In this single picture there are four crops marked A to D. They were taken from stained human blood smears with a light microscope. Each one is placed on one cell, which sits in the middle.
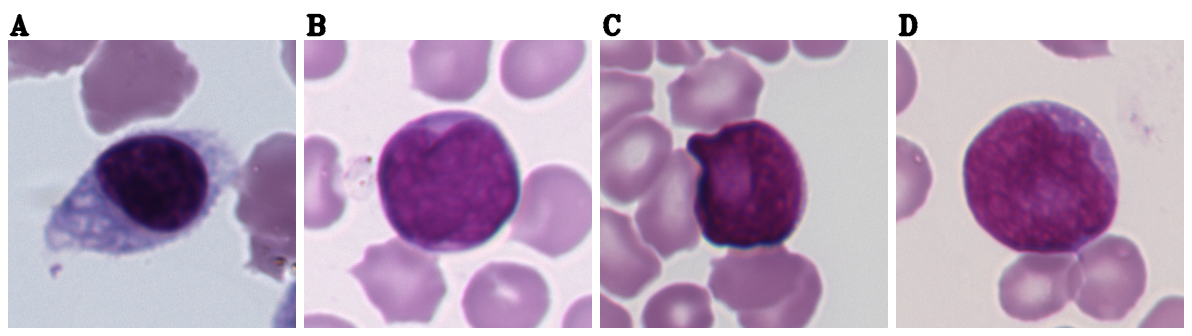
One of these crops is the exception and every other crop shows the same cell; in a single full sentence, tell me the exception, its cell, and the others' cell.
There is a hairy cell in crop A, while all the other crops show myeloblasts.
